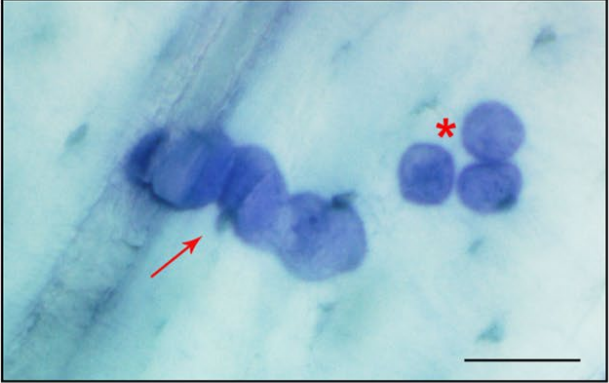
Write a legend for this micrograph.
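This is the surface of a bone slice carrying resorption cavities that stand out as dark blue, roughly rounded excavations on a pale blue-green background. On the left, several overlapping excavations join into one elongated, continuous trench, while on the right three small discrete round pits lie clustered but separate.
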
